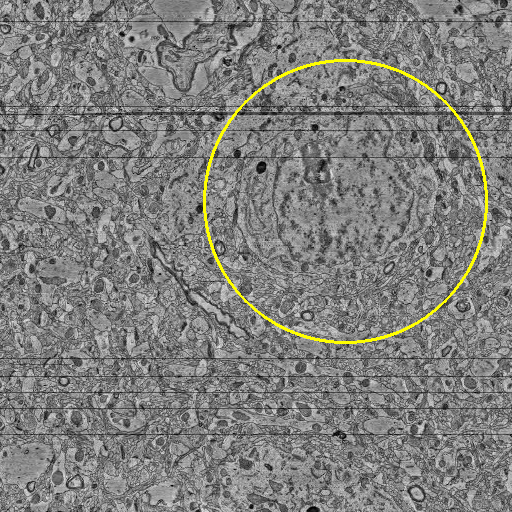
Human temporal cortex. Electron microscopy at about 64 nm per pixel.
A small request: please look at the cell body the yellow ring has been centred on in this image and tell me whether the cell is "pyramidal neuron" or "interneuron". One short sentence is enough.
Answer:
The cell marked by the ring is an interneuron.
